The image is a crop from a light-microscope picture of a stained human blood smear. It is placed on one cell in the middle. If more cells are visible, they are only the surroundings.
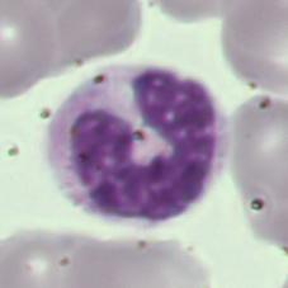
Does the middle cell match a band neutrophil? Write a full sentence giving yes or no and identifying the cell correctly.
Yes, placed in the middle of the crop is a band neutrophil.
